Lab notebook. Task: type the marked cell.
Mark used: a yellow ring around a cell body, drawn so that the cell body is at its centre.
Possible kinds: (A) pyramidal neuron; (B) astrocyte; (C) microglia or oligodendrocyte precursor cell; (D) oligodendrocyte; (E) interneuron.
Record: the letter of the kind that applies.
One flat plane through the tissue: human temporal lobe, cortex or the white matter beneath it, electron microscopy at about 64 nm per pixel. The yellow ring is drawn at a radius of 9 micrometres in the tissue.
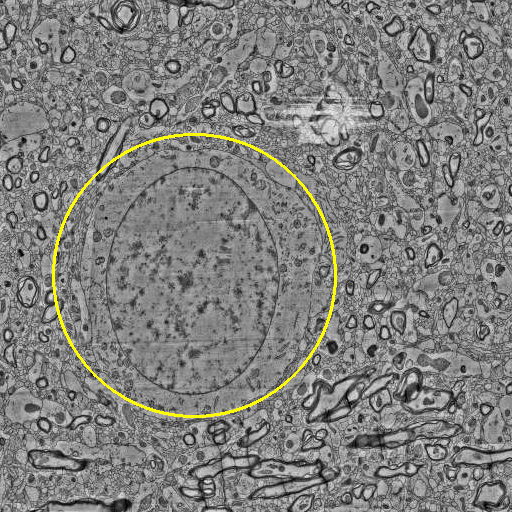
A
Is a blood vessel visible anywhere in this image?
No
